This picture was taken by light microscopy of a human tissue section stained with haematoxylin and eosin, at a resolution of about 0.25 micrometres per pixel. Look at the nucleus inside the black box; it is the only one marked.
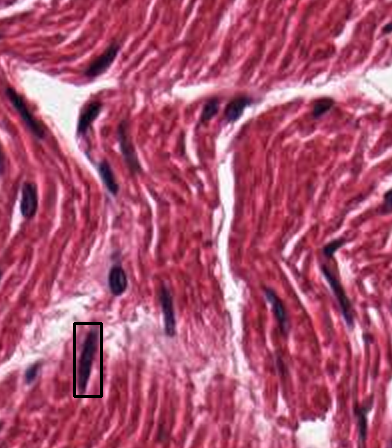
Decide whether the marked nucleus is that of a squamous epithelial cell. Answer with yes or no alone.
no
